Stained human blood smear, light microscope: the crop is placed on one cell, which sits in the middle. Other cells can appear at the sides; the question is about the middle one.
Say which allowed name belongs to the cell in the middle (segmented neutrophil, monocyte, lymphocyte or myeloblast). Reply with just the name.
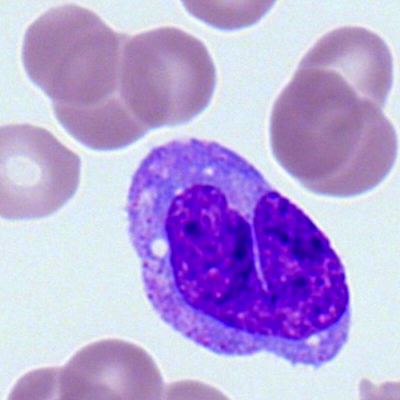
monocyte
